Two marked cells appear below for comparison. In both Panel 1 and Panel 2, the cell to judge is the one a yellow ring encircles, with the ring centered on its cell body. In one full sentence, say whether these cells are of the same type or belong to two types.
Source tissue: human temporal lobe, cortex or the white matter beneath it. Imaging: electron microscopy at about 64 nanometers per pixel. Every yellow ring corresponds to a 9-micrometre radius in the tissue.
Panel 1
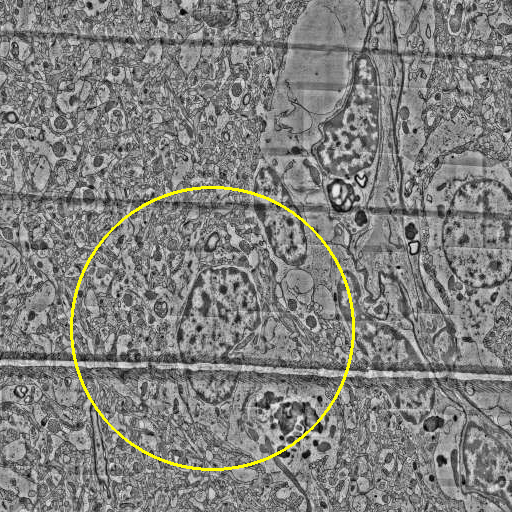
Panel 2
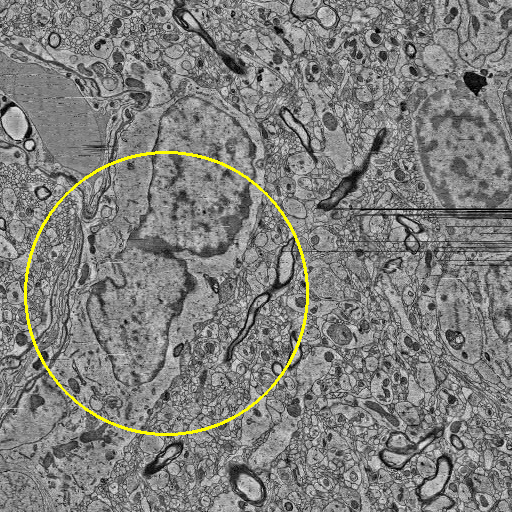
The cell centered in the Panel 1 ring and the one in Panel 2 are of the same type.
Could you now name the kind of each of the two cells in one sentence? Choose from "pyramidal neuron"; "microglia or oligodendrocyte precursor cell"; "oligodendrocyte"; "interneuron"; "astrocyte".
Each of the two rings surrounds a microglial cell or oligodendrocyte precursor cell.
